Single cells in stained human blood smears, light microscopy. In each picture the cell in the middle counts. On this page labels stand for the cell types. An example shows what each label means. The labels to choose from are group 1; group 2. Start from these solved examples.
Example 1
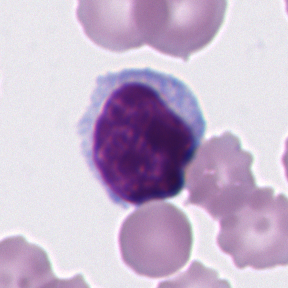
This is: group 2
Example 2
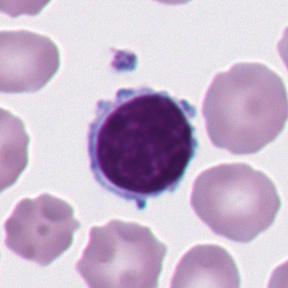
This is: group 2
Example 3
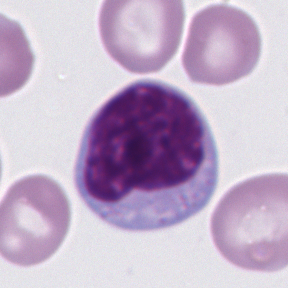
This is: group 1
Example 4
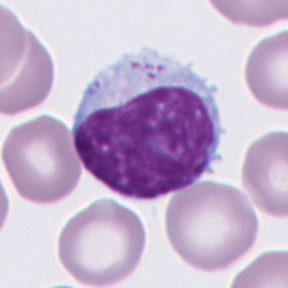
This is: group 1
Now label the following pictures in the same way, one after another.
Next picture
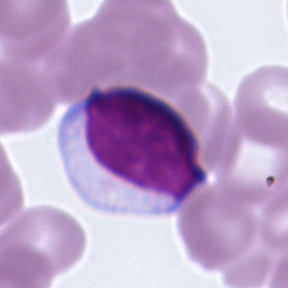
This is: group 1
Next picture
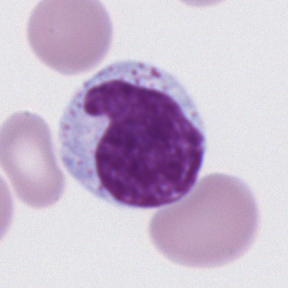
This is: group 1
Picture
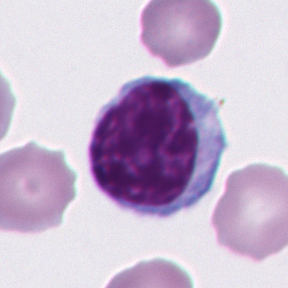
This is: group 2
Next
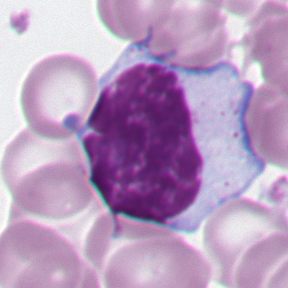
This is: group 1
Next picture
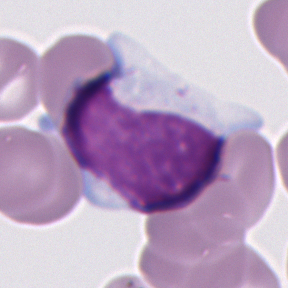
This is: group 1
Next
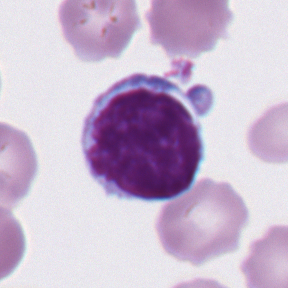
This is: group 2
